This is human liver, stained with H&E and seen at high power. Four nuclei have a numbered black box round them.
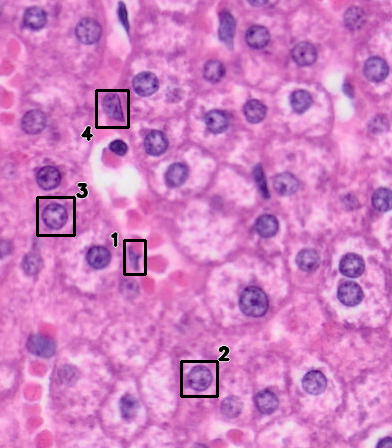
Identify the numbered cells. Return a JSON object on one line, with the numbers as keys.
{"1": "endothelial cell", "2": "hepatocyte", "3": "hepatocyte", "4": "endothelial cell"}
